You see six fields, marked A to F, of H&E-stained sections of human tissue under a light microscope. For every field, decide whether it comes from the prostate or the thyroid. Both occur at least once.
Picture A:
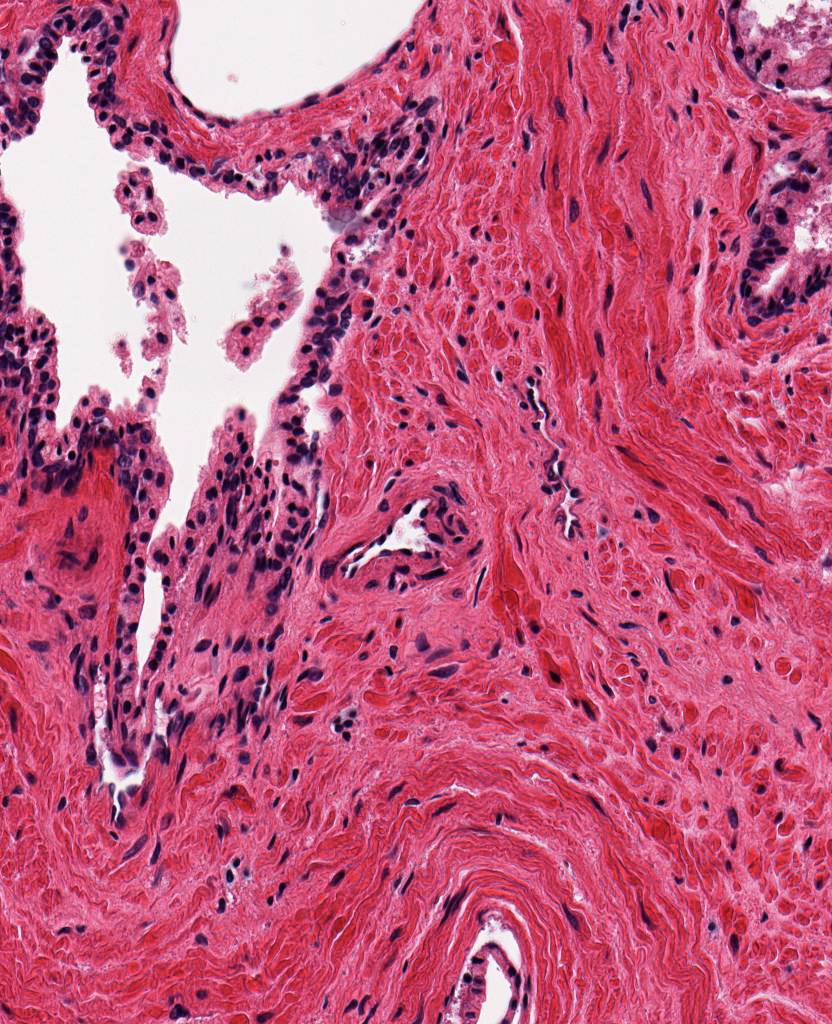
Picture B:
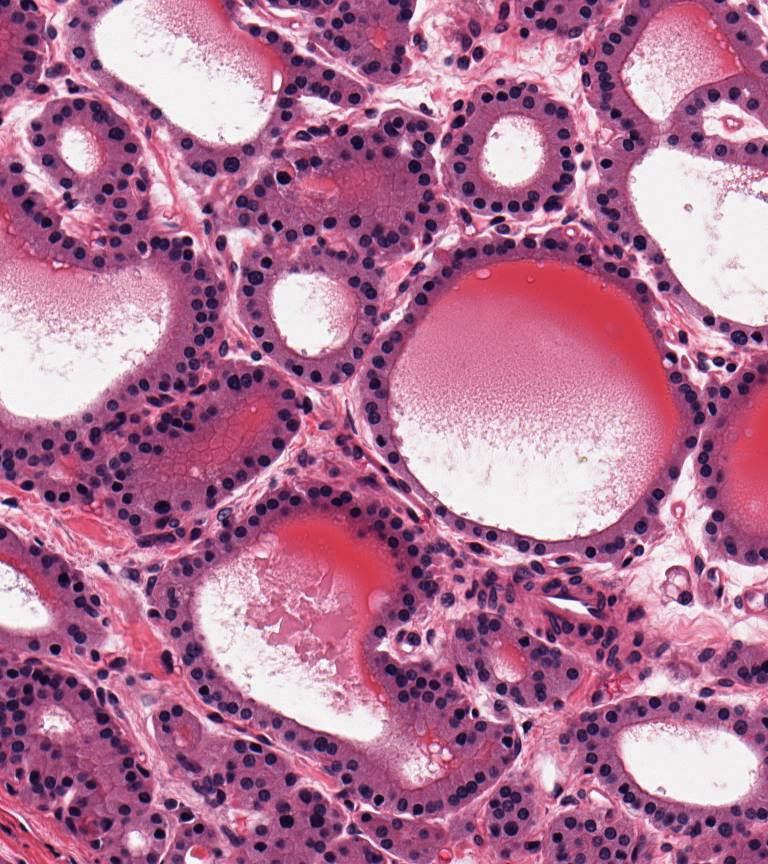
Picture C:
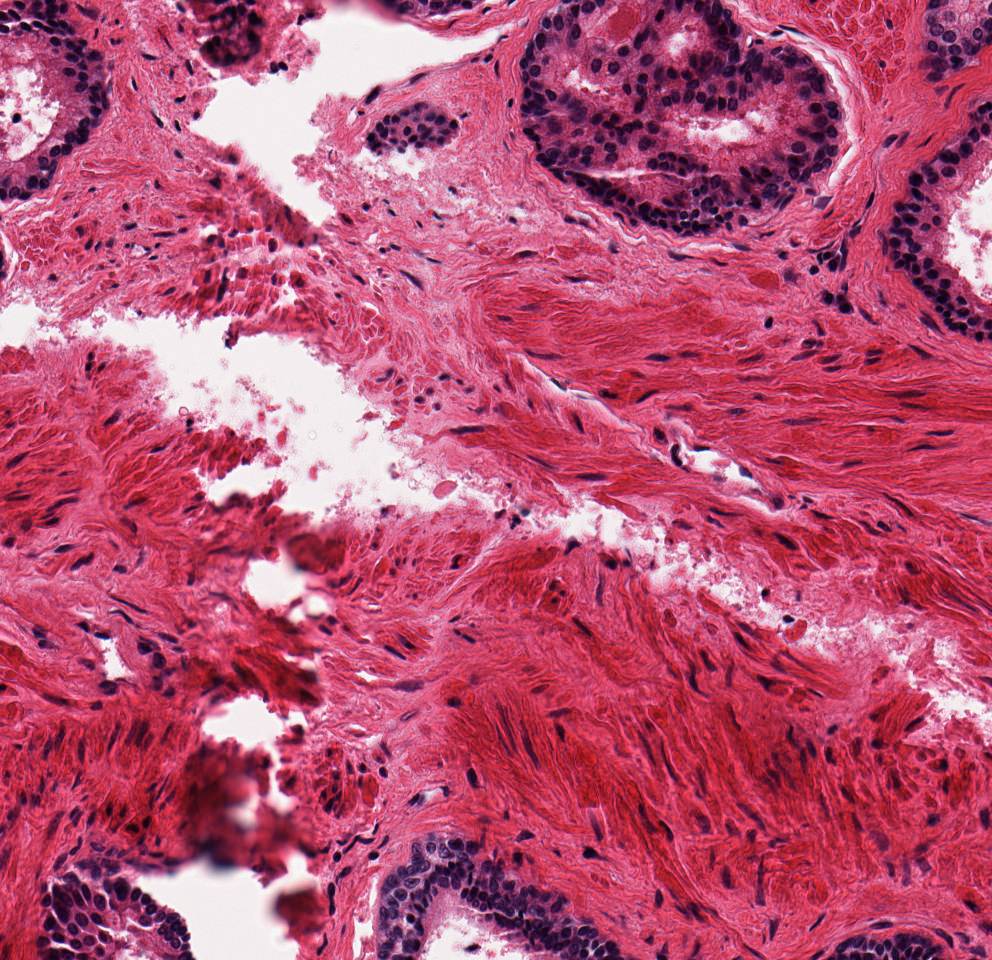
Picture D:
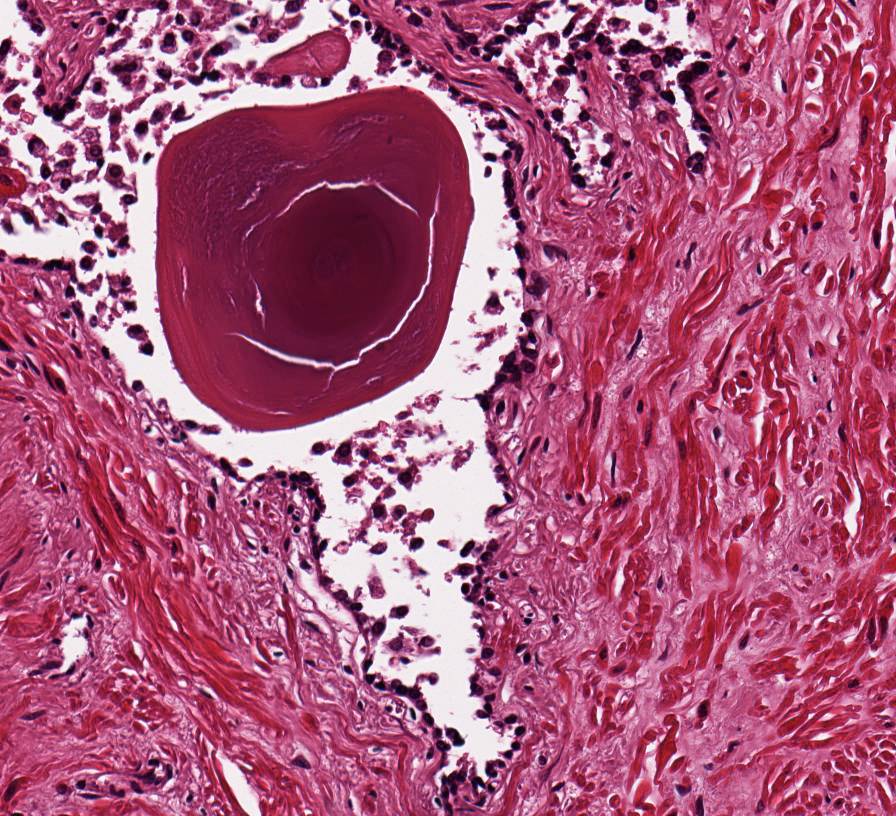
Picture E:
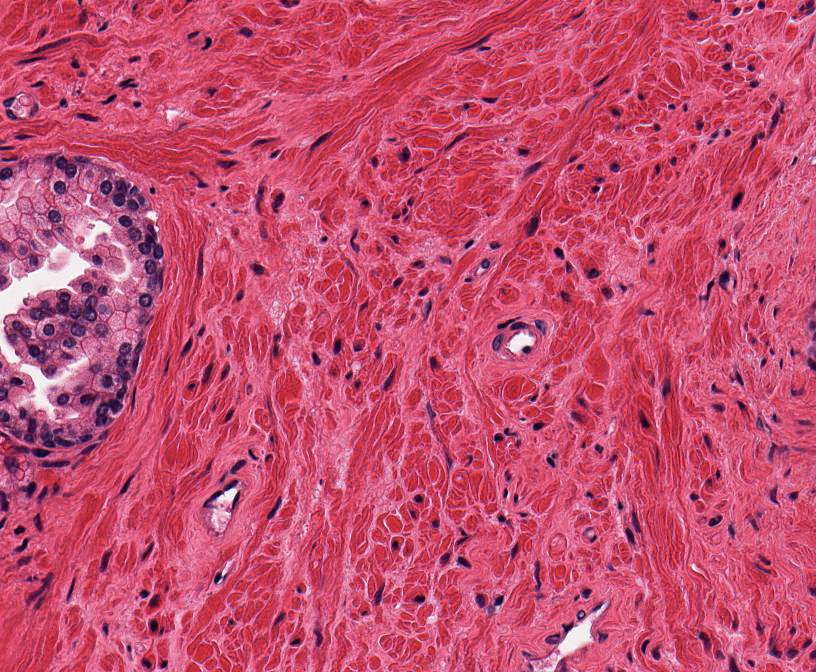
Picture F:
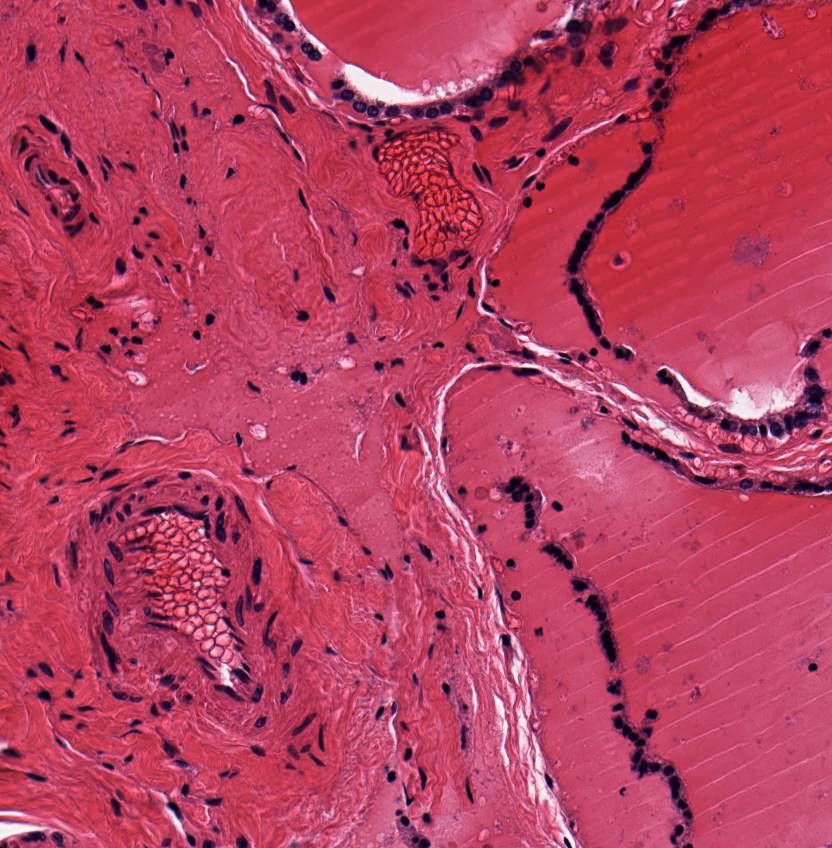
A: prostate
B: thyroid
C: prostate
D: prostate
E: prostate
F: thyroid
